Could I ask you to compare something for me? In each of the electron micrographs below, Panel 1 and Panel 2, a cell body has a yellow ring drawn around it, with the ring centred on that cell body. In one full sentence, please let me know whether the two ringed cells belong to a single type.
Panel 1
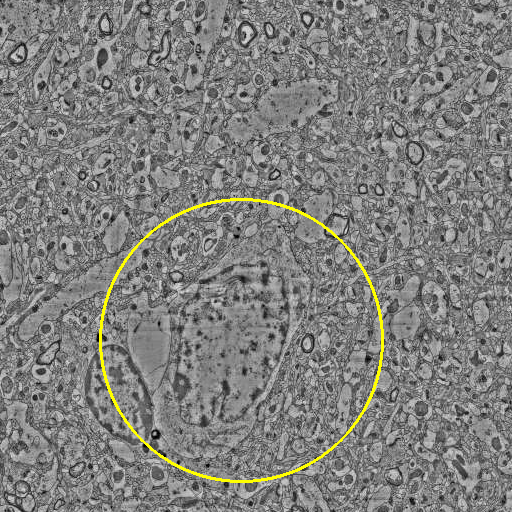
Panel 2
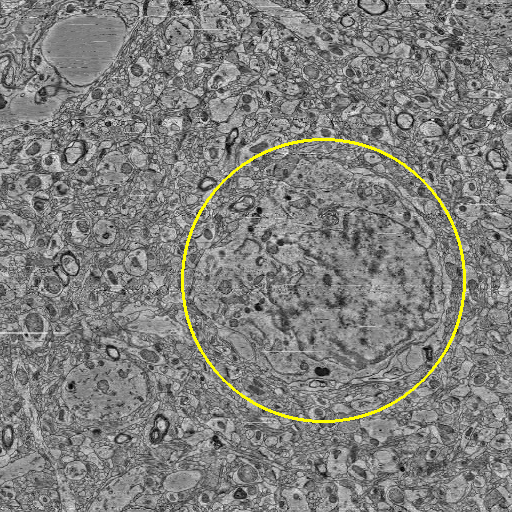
Yes, the two cells at the centres of the rings are of one type.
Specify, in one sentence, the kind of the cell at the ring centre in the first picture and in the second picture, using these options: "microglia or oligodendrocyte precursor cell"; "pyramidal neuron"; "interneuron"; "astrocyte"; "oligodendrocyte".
The second cell is an interneuron, just as the first is.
